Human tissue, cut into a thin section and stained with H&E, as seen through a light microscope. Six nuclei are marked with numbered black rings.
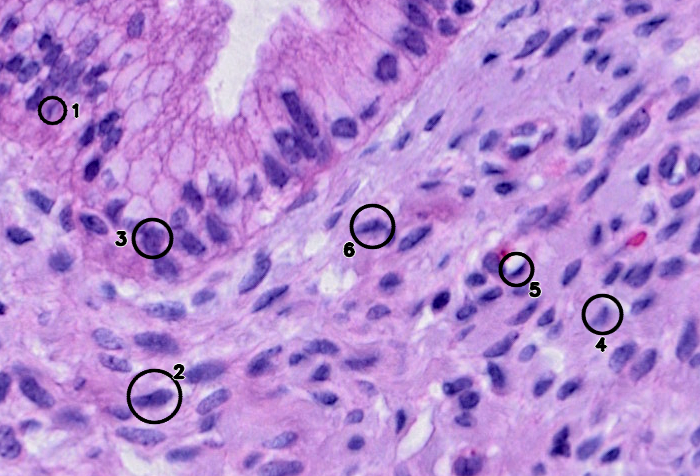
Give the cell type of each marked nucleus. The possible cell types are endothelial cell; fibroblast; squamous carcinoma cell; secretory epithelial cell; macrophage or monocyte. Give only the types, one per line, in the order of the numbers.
secretory epithelial cell
fibroblast
secretory epithelial cell
fibroblast
endothelial cell
fibroblast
